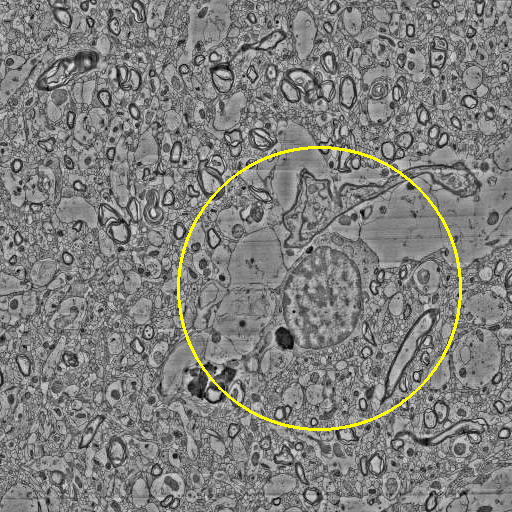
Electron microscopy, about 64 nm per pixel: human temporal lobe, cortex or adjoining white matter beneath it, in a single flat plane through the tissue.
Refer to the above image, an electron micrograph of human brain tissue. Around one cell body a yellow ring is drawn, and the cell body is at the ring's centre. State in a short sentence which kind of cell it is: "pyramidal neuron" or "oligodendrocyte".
The centre of the ring falls on an oligodendrocyte.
